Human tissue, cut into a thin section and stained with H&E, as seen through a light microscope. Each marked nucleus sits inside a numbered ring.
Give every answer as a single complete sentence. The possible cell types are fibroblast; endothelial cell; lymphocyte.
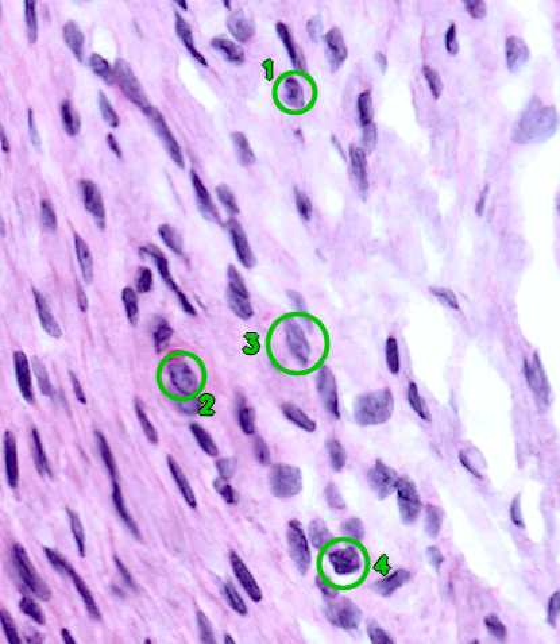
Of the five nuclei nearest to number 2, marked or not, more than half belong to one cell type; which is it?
Fibroblasts make up most of the five nuclei closest to number 2.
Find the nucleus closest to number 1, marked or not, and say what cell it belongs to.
The nearest nucleus to number 1 belongs to a fibroblast.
